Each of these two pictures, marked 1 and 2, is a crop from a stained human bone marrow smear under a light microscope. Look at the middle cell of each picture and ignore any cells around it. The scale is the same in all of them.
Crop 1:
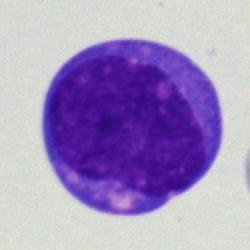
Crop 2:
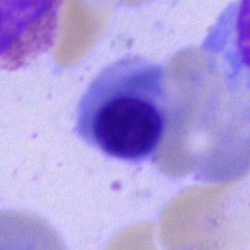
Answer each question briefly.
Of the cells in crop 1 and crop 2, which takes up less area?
2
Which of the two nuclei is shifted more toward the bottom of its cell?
2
